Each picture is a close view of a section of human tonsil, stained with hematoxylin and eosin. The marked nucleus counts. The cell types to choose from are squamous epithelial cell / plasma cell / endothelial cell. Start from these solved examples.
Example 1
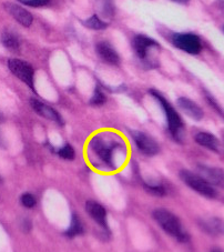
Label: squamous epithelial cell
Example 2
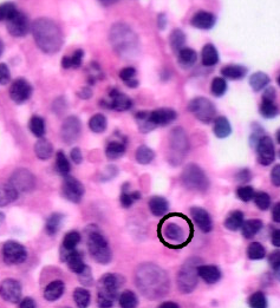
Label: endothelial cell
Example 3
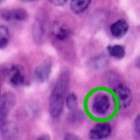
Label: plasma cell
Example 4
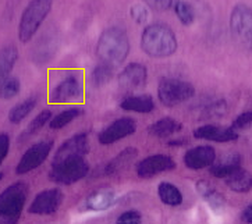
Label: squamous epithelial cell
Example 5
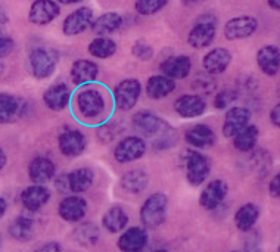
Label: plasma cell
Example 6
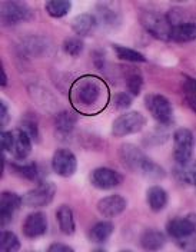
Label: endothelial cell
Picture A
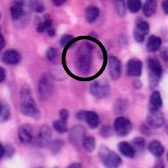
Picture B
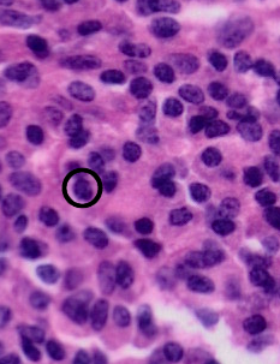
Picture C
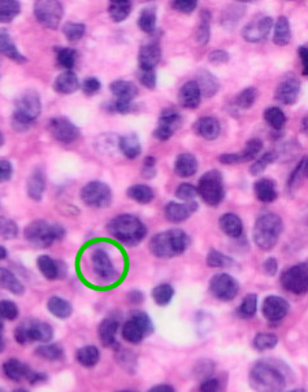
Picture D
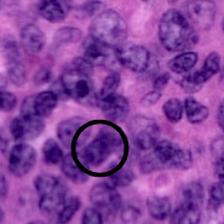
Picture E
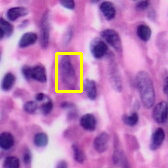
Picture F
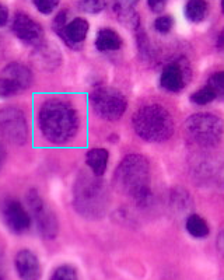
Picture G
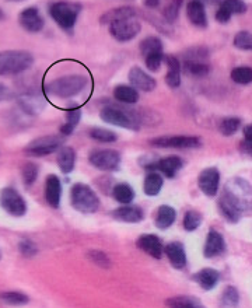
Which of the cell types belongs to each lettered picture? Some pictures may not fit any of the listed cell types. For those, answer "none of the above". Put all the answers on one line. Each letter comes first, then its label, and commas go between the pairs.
A endothelial cell, B plasma cell, C none of the above, D none of the above, E endothelial cell, F squamous epithelial cell, G endothelial cell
